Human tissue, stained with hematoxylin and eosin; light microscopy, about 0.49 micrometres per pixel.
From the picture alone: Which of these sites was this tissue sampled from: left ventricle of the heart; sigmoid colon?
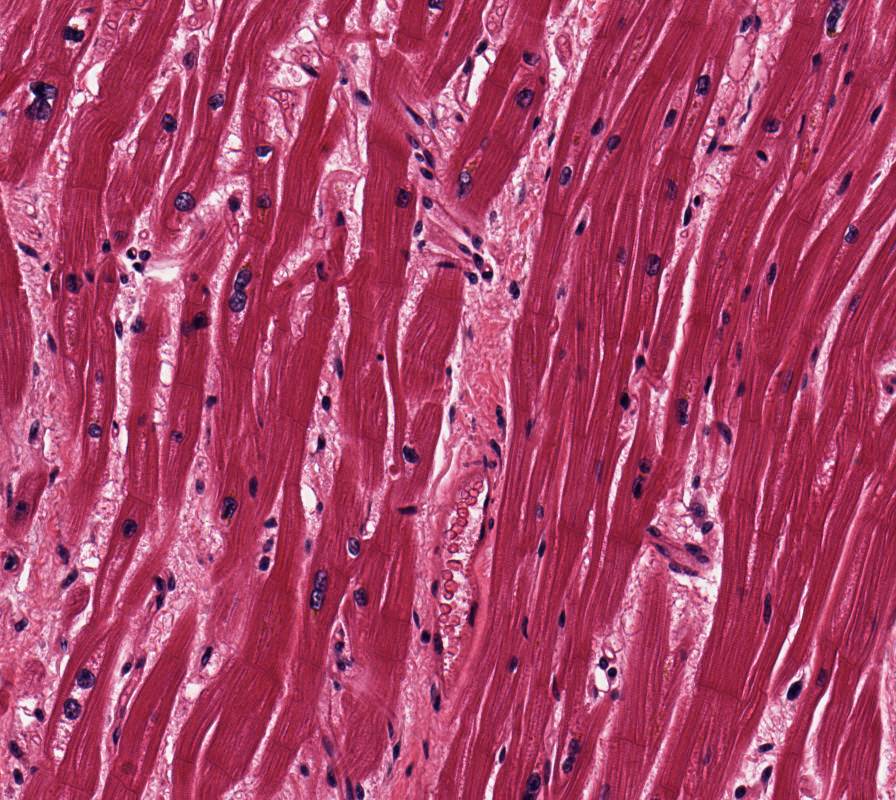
left ventricle of the heart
